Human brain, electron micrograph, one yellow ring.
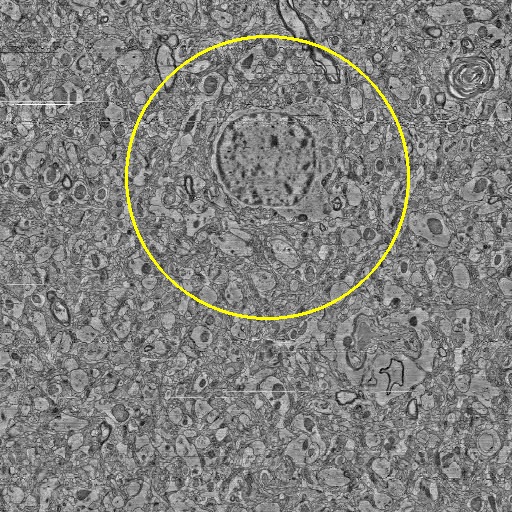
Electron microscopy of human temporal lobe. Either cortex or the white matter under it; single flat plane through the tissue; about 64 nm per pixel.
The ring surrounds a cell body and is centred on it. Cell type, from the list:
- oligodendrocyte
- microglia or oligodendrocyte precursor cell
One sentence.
The yellow ring circles a microglial cell or oligodendrocyte precursor cell.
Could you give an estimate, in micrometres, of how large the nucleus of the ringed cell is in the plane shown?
In this plane the ringed cell's nucleus is roughly 7 micrometres across.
